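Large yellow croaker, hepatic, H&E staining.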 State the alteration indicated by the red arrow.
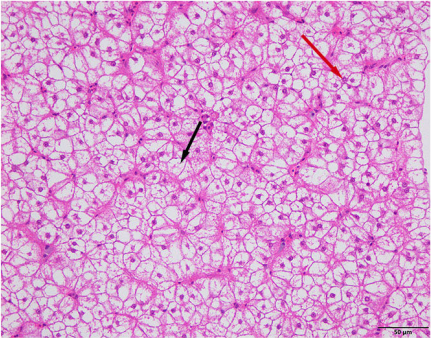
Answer: Nuclear migration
